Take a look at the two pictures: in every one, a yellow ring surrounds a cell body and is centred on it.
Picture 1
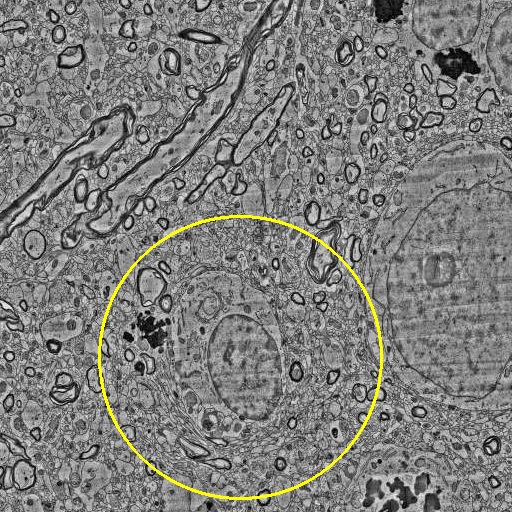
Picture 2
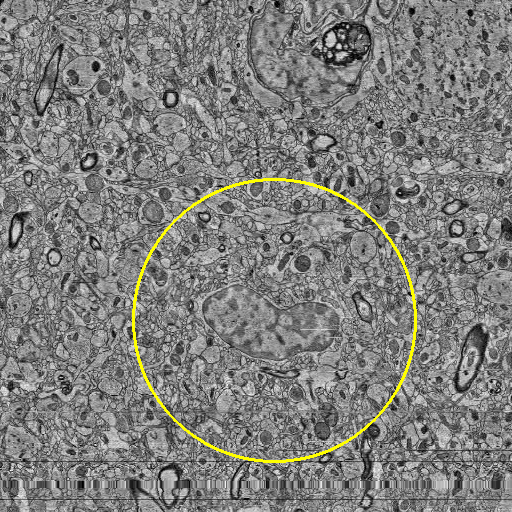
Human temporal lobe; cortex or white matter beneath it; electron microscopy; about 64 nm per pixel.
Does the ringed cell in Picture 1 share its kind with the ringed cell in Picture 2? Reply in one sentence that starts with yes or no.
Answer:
Yes, the two centred cells, one per picture, are of one kind.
